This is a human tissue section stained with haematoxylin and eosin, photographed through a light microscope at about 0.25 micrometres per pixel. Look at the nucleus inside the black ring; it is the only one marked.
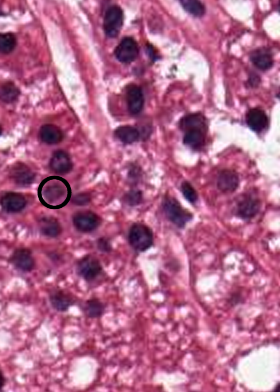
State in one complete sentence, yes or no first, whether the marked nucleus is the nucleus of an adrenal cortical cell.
Yes, the owner of the marked nucleus is an adrenal cortical cell.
